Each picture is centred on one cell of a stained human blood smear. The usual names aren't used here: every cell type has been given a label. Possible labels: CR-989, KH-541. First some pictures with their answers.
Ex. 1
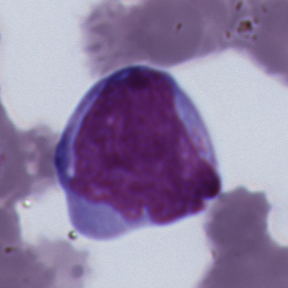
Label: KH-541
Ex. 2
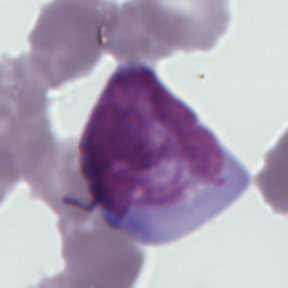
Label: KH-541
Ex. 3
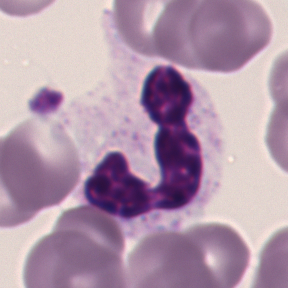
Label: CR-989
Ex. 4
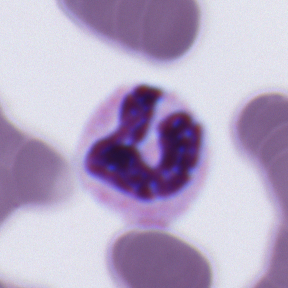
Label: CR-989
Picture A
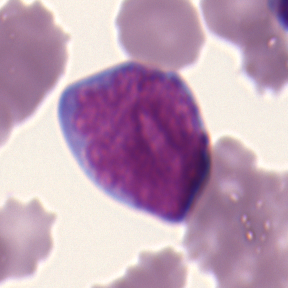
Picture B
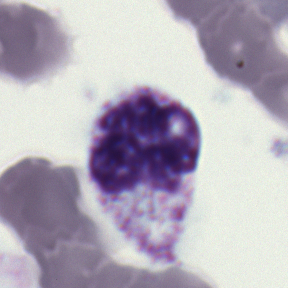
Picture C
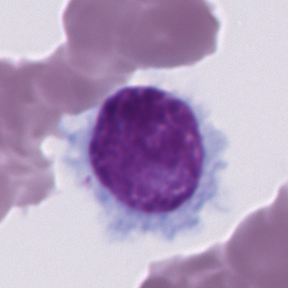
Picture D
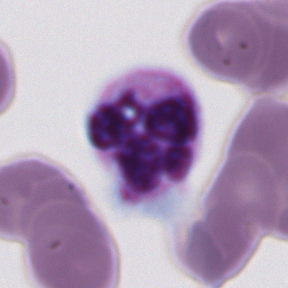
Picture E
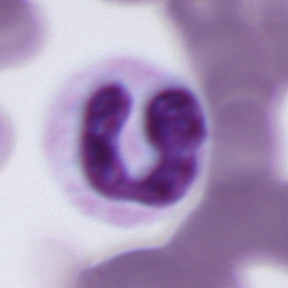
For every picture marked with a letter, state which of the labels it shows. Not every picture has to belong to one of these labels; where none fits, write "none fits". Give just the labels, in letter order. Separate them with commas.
KH-541, CR-989, none fits, CR-989, CR-989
